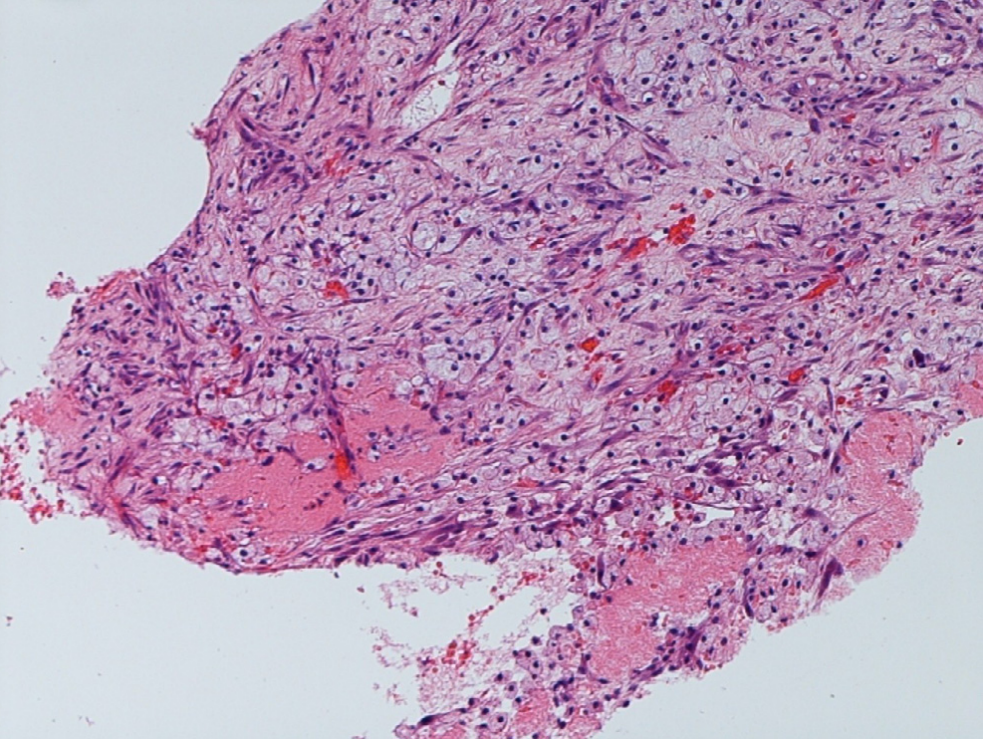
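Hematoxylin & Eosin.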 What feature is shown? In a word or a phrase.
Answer: Fibrovascular stroma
